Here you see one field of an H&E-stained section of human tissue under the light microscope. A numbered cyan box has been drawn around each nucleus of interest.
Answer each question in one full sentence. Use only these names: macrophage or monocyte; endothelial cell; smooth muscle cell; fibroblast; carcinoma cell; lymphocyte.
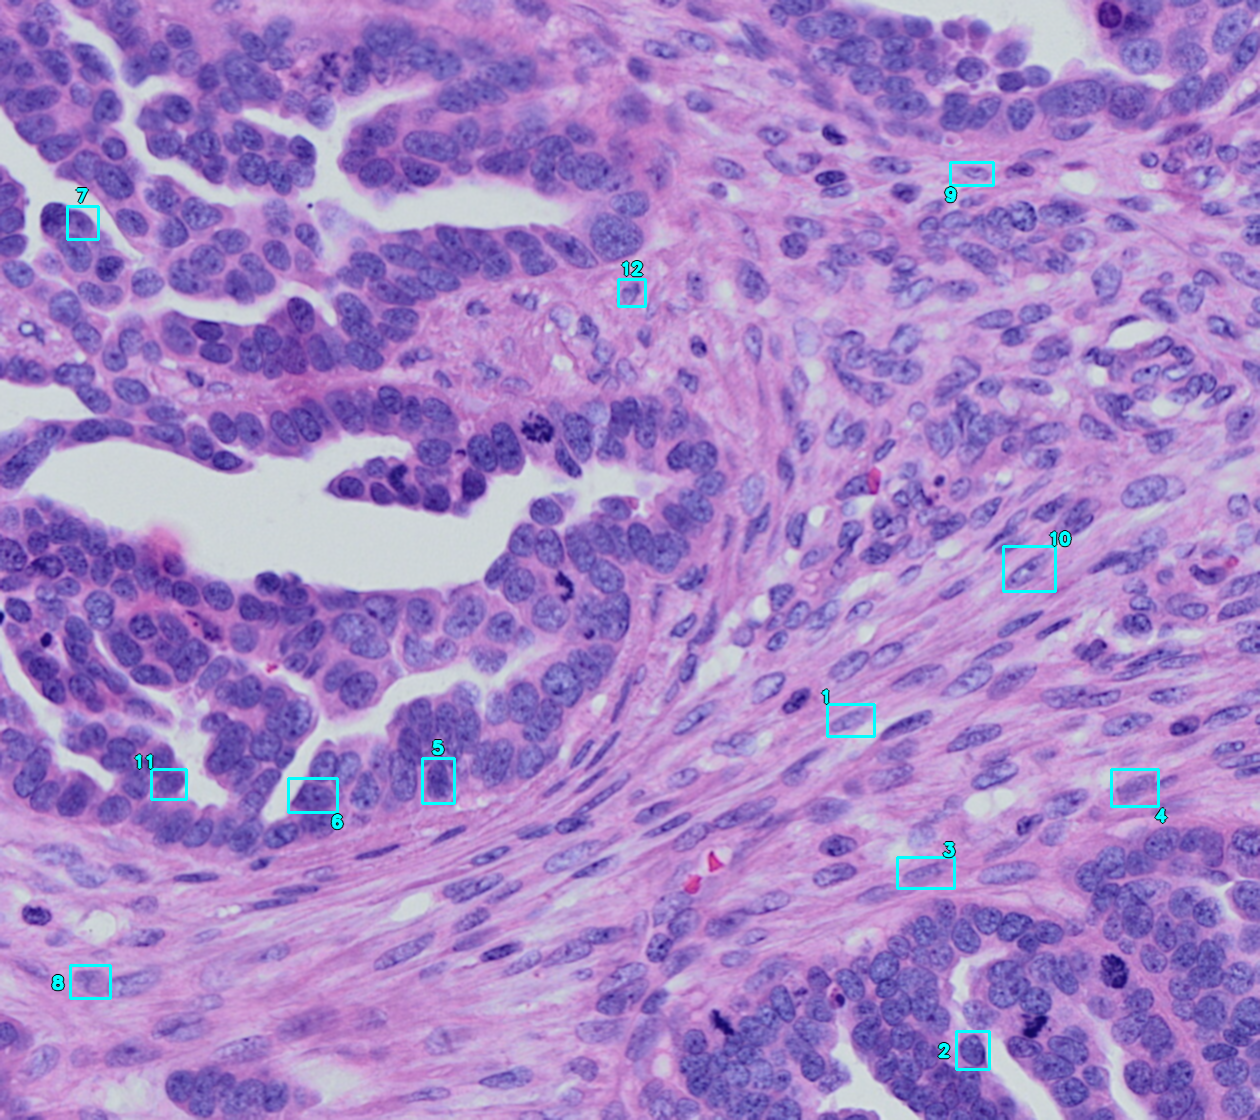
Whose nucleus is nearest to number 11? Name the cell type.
Number 11 lies closest to the nucleus of a carcinoma cell.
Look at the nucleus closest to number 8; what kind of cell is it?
It is a fibroblast whose nucleus is nearest to number 8.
